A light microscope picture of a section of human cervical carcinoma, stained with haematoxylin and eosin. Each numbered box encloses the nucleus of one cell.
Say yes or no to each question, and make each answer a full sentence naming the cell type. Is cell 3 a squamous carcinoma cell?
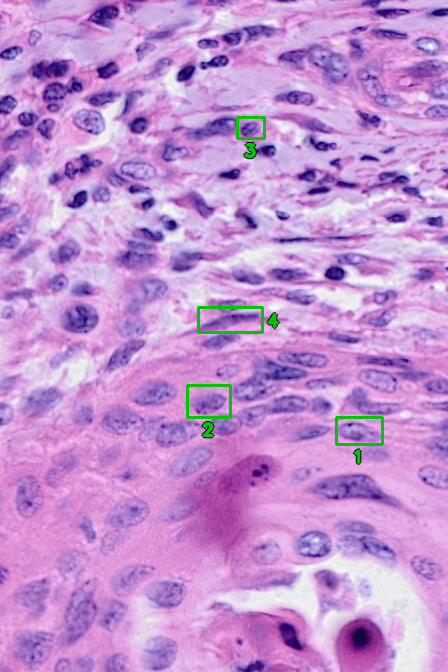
No, cell 3 is not a squamous carcinoma cell: it is an endothelial cell.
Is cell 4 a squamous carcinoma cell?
No, cell number 4 is identified as a fibroblast, not as a squamous carcinoma cell.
